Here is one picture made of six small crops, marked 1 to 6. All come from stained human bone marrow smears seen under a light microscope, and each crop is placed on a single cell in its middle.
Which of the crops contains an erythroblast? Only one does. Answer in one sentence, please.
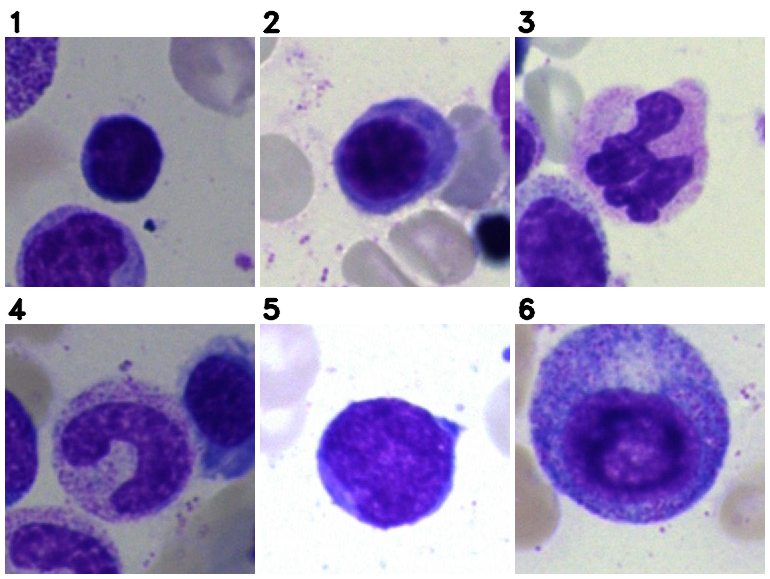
Of the labeled crops, the one with an erythroblast is crop 2.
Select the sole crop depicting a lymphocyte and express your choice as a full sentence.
Crop 1 is the crop whose central cell is a lymphocyte.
